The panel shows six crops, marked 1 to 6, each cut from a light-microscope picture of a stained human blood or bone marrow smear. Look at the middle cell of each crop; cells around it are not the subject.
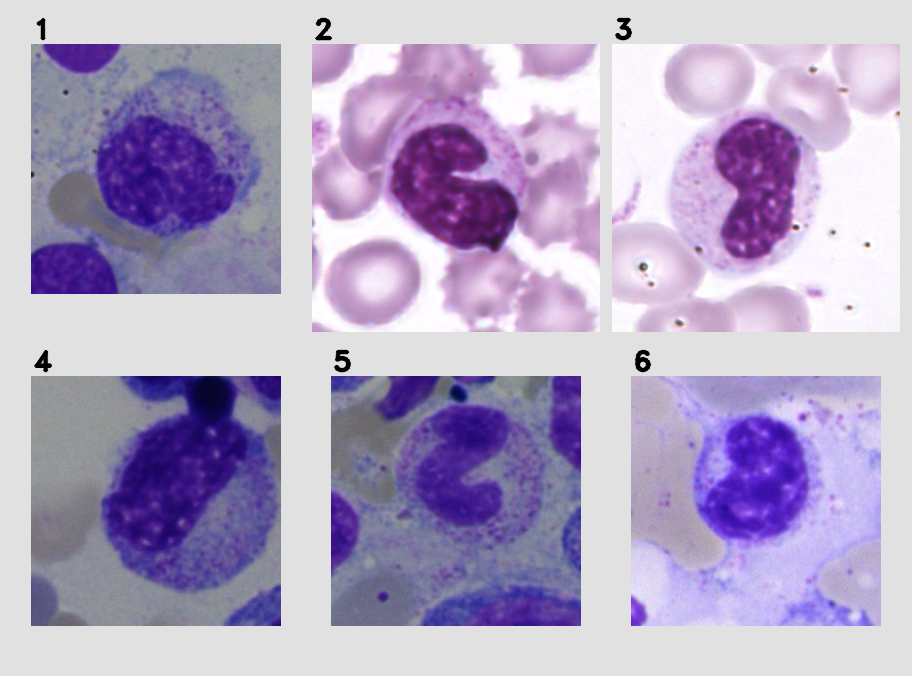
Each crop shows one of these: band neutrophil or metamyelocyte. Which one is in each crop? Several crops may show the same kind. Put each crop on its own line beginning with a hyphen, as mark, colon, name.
- 1: metamyelocyte
- 2: band neutrophil
- 3: band neutrophil
- 4: metamyelocyte
- 5: metamyelocyte
- 6: metamyelocyte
